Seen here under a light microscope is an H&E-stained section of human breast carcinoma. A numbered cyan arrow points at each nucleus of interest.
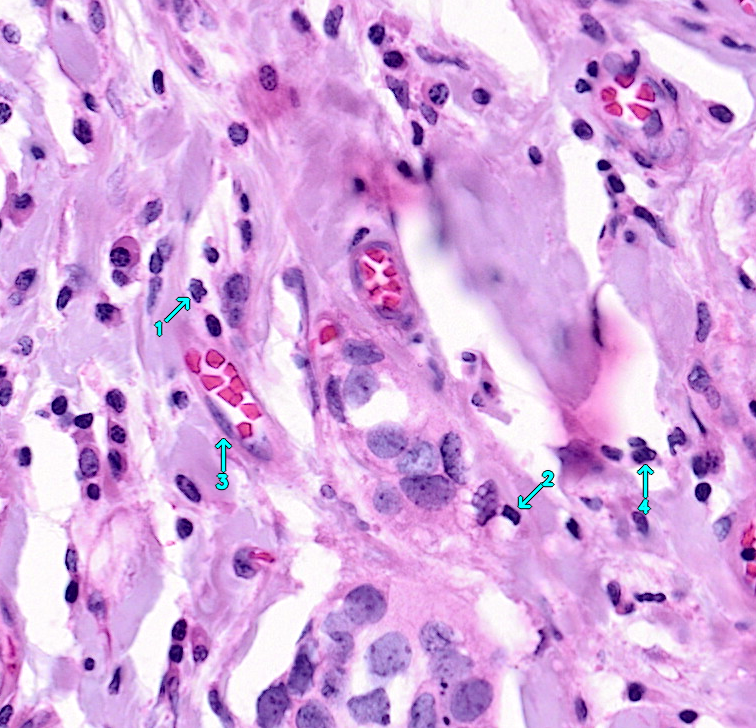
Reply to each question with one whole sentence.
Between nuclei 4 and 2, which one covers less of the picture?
Nucleus 2 is the smaller one; nucleus 4 covers about 1.5 times its area.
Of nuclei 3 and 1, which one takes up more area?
Of the two, number 3 is bigger and takes up about 1.5 times the area of number 1.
